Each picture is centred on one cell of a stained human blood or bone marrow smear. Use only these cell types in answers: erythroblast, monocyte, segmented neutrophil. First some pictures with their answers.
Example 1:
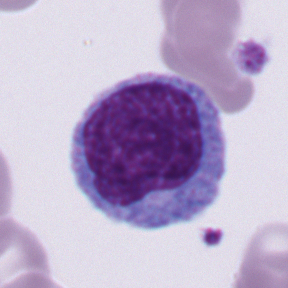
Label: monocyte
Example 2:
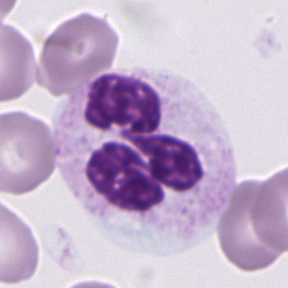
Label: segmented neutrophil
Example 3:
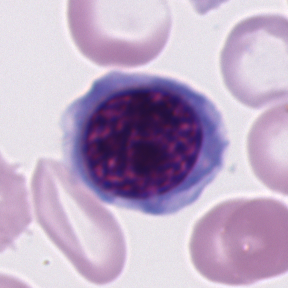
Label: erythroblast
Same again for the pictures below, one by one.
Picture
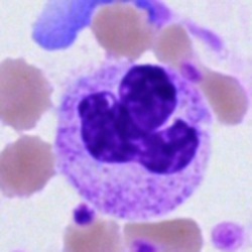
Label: segmented neutrophil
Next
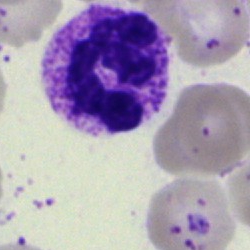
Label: segmented neutrophil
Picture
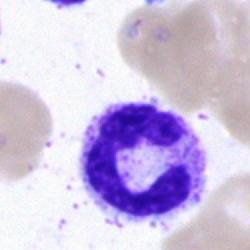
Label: segmented neutrophil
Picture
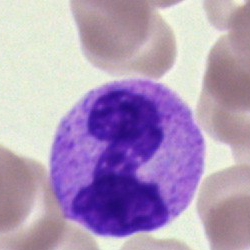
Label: segmented neutrophil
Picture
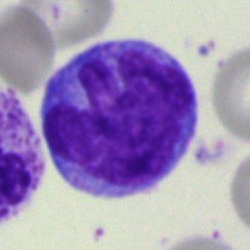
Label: monocyte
